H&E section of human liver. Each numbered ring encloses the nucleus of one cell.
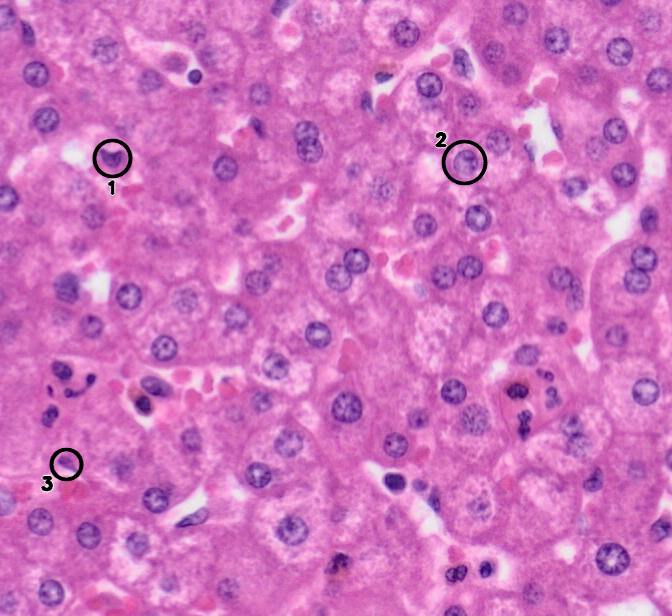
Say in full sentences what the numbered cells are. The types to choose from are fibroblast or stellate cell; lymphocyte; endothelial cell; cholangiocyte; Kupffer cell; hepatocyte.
Cell 1 is a Kupffer cell. Cell 2 is a hepatocyte. Cell 3 is an endothelial cell.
